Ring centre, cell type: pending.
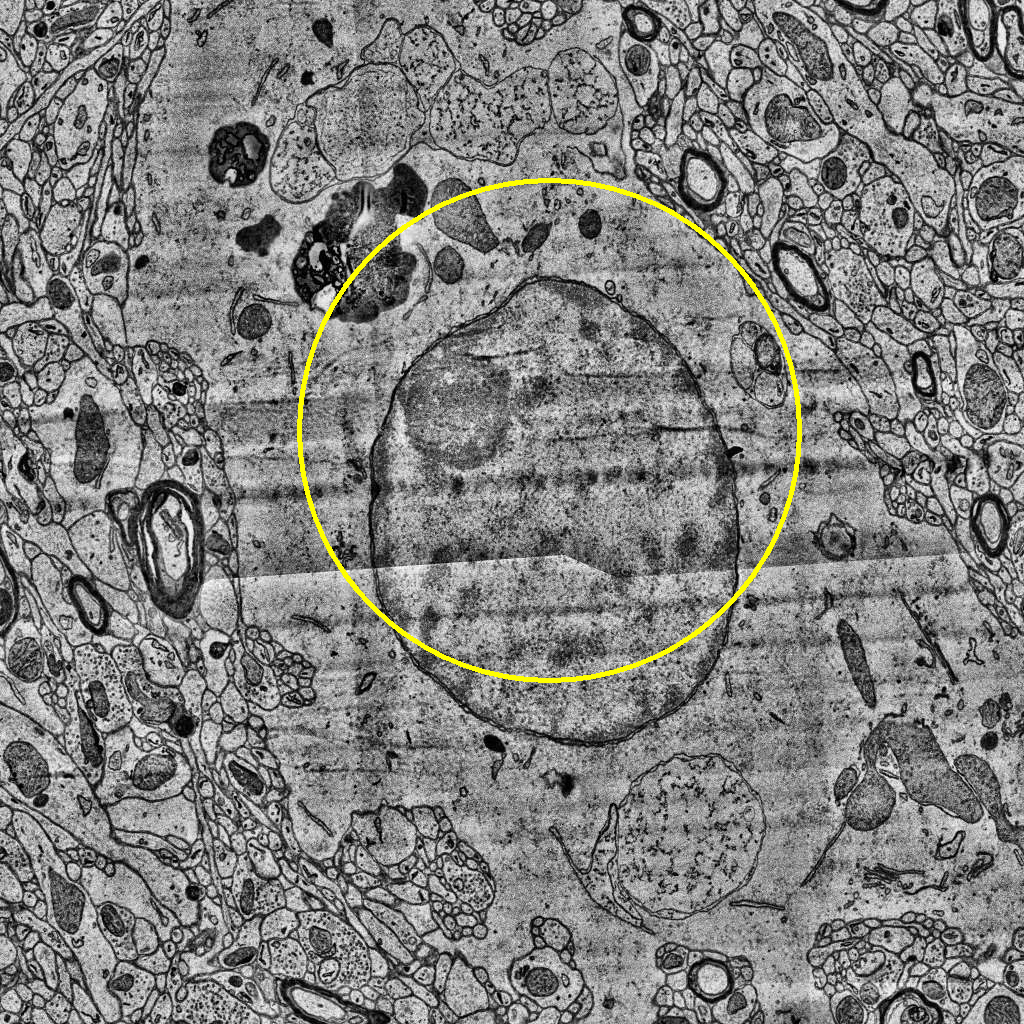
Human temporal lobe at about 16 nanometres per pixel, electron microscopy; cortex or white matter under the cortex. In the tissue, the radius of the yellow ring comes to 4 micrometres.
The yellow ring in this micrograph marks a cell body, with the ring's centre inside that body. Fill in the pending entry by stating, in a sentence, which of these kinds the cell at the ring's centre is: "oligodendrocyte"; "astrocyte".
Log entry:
The cell at the ring's centre is recorded as an astrocyte.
